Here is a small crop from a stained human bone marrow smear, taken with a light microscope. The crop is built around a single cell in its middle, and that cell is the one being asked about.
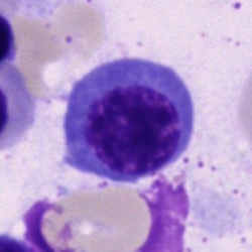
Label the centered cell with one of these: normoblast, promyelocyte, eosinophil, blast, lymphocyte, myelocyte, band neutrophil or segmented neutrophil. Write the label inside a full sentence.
In the centre of this crop there is a normoblast.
